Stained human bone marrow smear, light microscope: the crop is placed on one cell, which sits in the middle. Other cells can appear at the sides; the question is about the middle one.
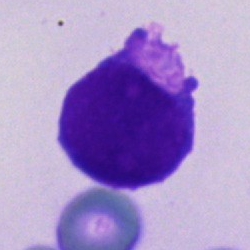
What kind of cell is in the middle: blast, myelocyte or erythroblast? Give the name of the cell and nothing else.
blast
